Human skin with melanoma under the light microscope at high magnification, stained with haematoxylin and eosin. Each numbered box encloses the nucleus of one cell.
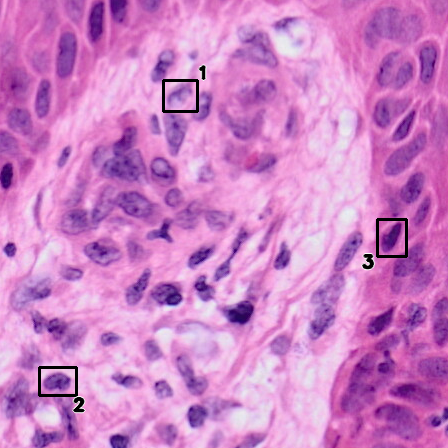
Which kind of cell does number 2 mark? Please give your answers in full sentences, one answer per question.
Identified as a lymphocyte is the cell bearing the number 2.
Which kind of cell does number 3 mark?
Cell 3, as marked in the section, is a keratinocyte.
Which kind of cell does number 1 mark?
Numbered cell 1 is a fibroblast or myofibroblast in this tissue section.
